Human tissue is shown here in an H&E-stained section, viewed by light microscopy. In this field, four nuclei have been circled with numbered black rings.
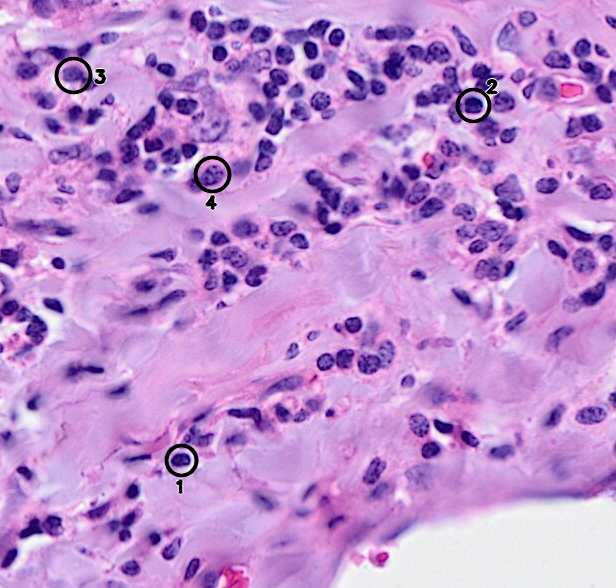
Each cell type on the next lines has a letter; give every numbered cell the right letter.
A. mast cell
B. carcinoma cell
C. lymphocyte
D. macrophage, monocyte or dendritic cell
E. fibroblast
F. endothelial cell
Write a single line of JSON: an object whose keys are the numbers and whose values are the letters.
{"1": "C", "2": "C", "3": "C", "4": "A"}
